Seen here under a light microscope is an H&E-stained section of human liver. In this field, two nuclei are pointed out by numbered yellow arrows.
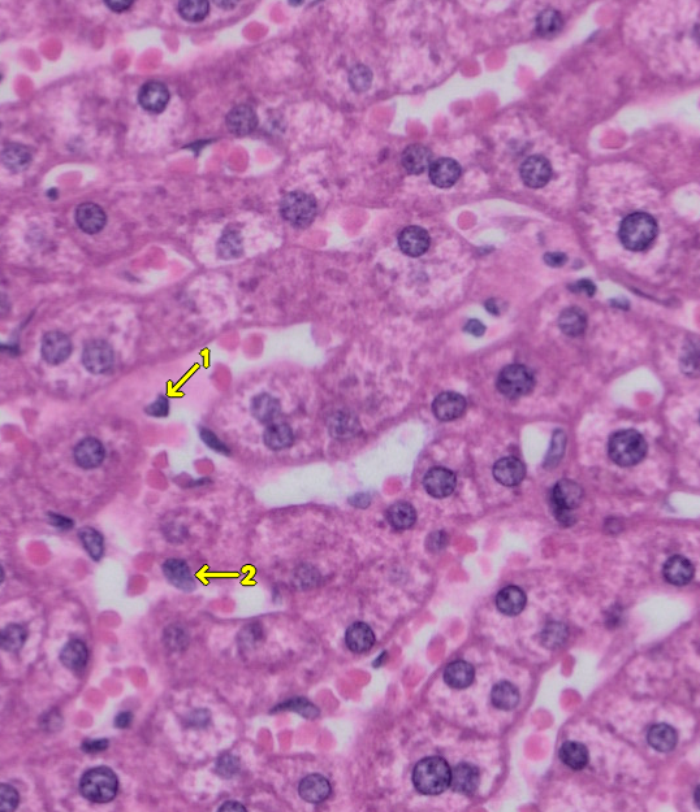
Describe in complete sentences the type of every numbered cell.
Cell 1 is a lymphocyte and cell 2 is a fibroblast or stellate cell.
